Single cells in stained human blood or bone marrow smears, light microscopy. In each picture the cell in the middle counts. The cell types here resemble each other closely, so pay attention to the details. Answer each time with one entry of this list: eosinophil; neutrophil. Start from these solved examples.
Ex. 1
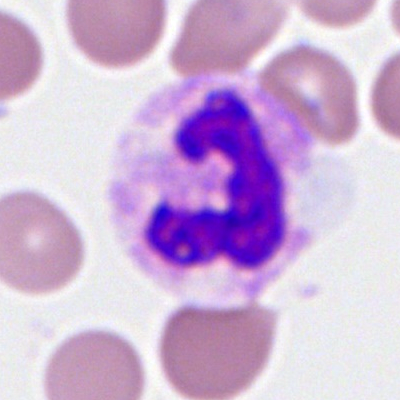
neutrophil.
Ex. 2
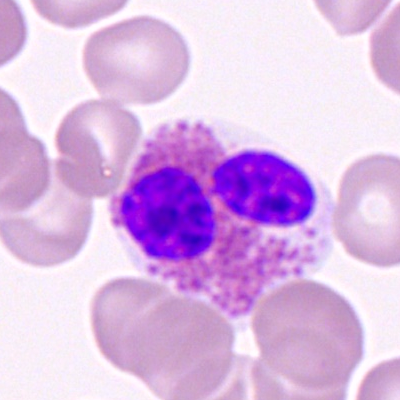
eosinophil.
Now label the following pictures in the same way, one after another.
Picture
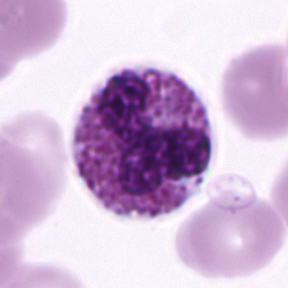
eosinophil.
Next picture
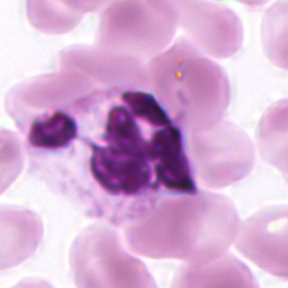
neutrophil.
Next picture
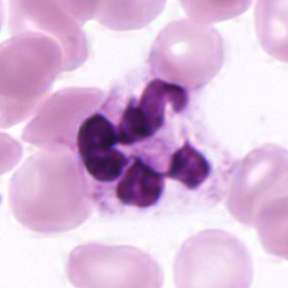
neutrophil.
